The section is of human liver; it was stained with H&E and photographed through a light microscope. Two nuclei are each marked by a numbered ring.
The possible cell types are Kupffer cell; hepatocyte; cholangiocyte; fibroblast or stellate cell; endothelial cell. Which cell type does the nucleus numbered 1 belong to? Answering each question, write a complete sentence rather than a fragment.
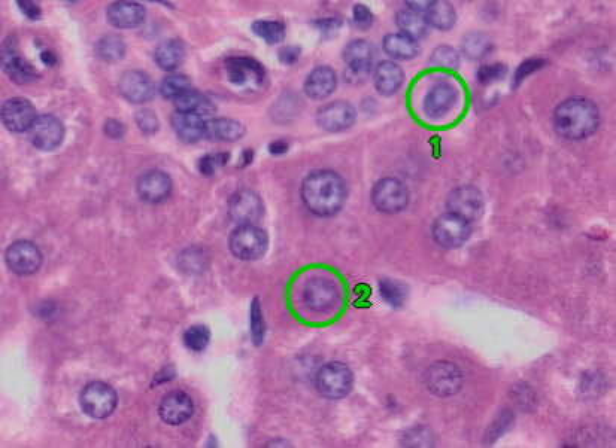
Here, the cell given the number 1 is a cholangiocyte.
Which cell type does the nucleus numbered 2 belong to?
The correct answer for cell 2 is a hepatocyte.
